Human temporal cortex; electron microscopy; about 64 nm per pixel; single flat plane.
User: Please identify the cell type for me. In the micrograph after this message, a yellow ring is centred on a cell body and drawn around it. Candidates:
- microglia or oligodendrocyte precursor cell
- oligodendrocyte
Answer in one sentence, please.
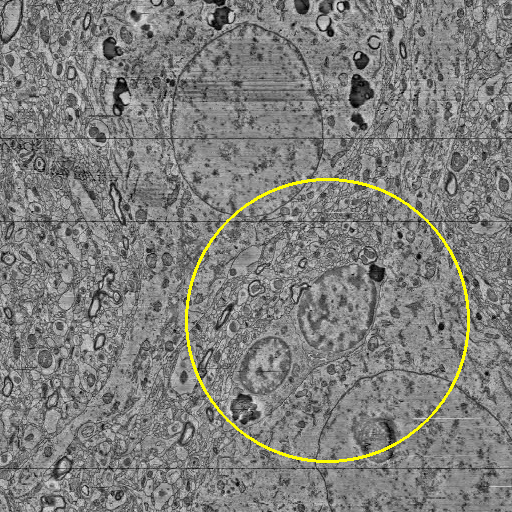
The ring is drawn around the cell body of an oligodendrocyte.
